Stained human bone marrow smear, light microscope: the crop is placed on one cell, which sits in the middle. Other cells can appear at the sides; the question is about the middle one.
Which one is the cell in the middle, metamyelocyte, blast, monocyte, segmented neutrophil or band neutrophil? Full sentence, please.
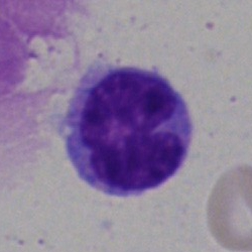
Here the cell in the middle is a monocyte.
